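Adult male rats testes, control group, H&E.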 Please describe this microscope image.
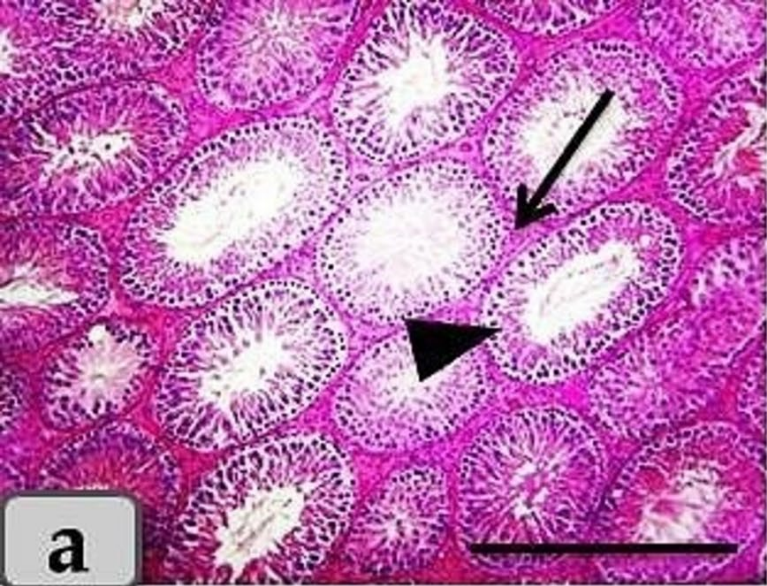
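This is a low-magnification view of testicular parenchyma showing many seminiferous tubules in cross section. The tubules are oval or rounded and lie closely packed side by side. Each has a multilayered cellular wall with dark purple nuclei surrounding a pale central lumen. Narrow pink strands of interstitial connective tissue fill the spaces between neighbouring tubules. The tubules are of fairly uniform outline and their walls appear intact.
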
